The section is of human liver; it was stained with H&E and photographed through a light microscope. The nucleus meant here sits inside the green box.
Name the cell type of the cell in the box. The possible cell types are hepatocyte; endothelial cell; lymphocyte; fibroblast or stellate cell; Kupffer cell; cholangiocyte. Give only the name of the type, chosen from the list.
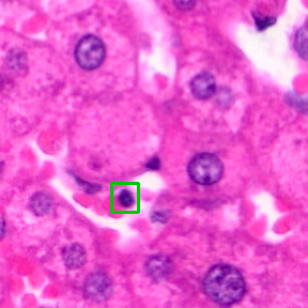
lymphocyte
